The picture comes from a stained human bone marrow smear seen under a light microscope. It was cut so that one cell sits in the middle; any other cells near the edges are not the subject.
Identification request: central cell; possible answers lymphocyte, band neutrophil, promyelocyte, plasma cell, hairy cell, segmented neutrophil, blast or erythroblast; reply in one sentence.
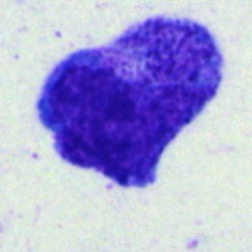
As for the central cell, it is a promyelocyte.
